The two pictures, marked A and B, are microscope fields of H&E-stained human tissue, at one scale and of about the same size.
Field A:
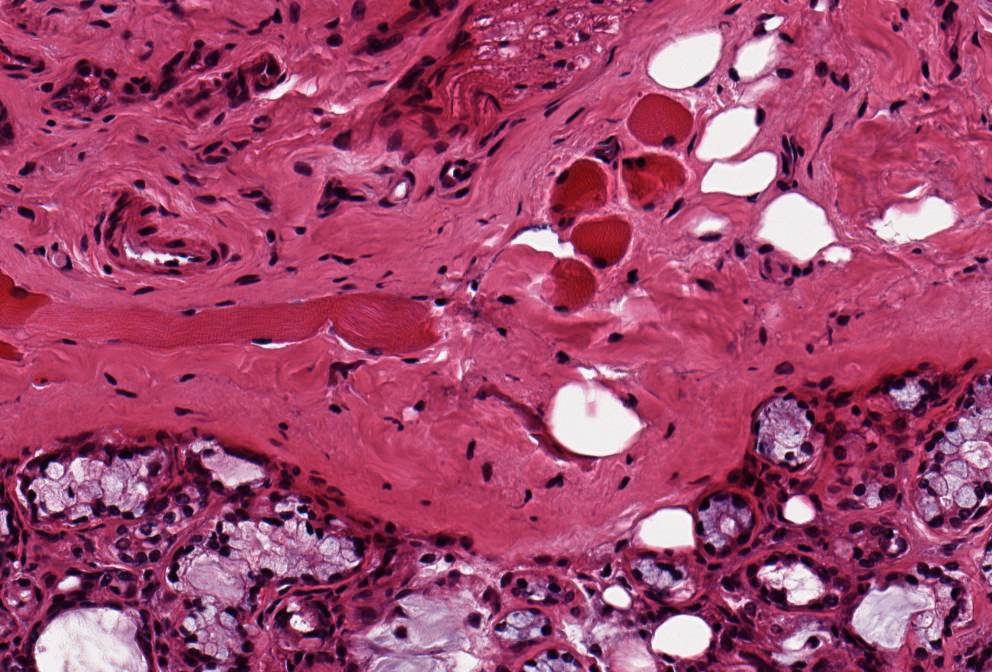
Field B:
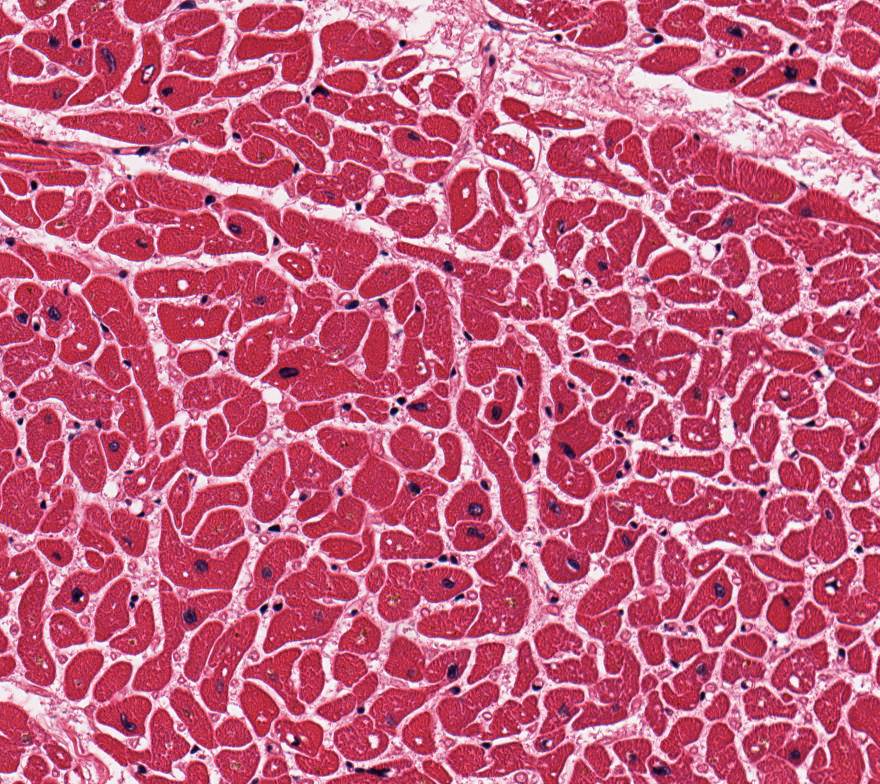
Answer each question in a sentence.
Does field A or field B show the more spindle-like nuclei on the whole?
On the whole the nuclei of field A are more drawn out than those of field B.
